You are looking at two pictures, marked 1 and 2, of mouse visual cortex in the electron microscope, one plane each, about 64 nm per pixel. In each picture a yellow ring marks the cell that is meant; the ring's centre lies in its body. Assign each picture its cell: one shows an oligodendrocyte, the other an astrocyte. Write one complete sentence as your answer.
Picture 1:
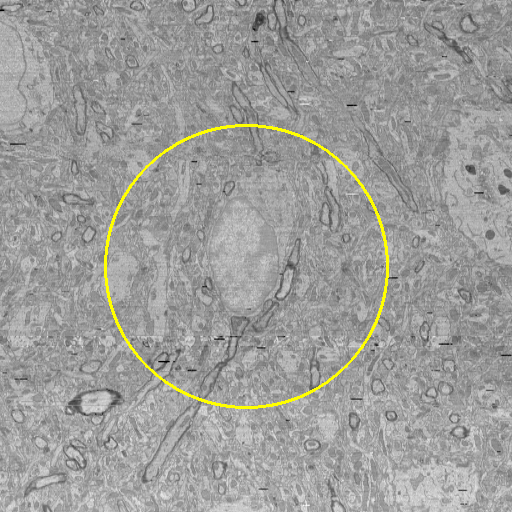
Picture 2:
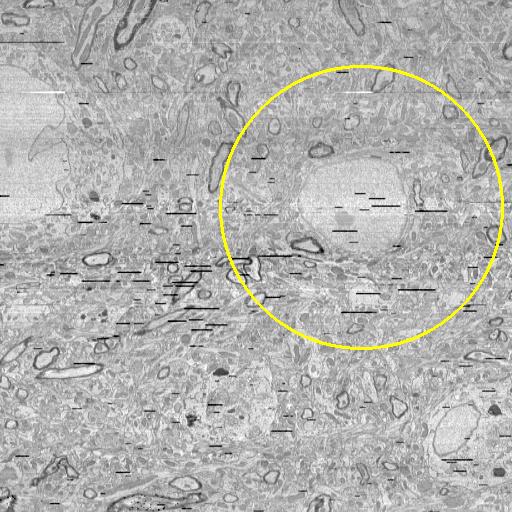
Picture 1 is of an oligodendrocyte, and picture 2 is of an astrocyte.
